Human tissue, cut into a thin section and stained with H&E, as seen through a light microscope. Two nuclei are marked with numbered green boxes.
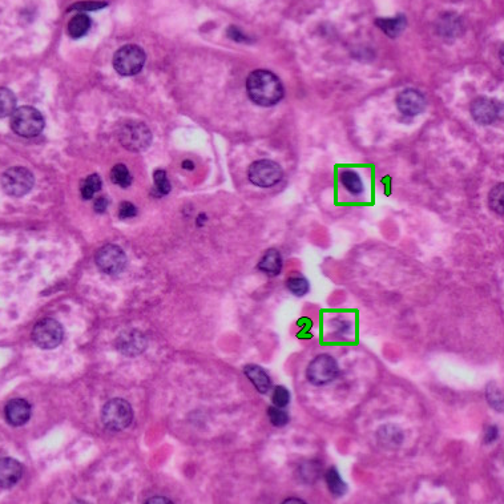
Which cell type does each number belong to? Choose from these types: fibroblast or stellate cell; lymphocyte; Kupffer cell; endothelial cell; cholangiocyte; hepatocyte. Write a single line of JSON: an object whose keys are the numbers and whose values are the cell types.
{"1": "lymphocyte", "2": "endothelial cell"}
